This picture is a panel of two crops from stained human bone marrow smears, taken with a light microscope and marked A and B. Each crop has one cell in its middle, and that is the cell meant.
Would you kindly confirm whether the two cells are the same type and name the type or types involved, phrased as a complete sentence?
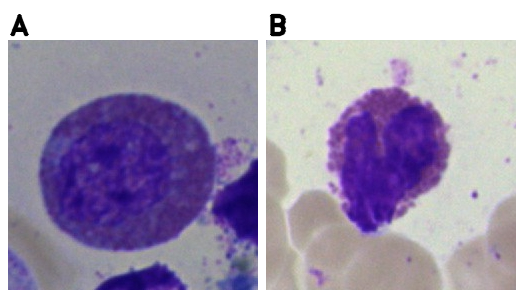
Yes, the cells under consideration in both crops are eosinophils.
